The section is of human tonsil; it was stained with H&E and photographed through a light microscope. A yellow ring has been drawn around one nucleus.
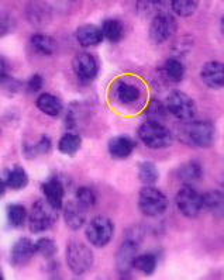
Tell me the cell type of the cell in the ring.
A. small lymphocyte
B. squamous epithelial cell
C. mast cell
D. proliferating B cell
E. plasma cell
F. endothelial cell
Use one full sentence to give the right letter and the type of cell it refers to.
In keeping with option E, the cell in the ring is a plasma cell.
